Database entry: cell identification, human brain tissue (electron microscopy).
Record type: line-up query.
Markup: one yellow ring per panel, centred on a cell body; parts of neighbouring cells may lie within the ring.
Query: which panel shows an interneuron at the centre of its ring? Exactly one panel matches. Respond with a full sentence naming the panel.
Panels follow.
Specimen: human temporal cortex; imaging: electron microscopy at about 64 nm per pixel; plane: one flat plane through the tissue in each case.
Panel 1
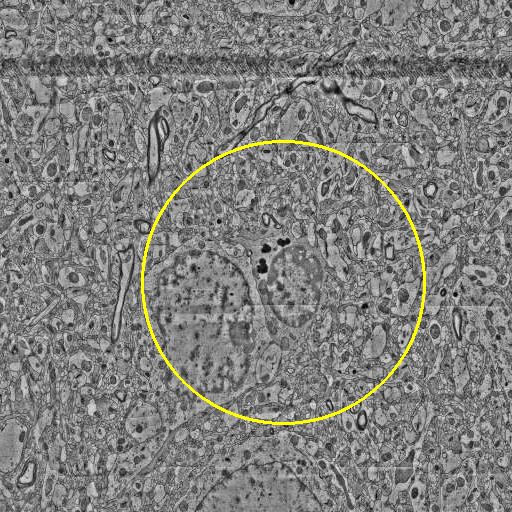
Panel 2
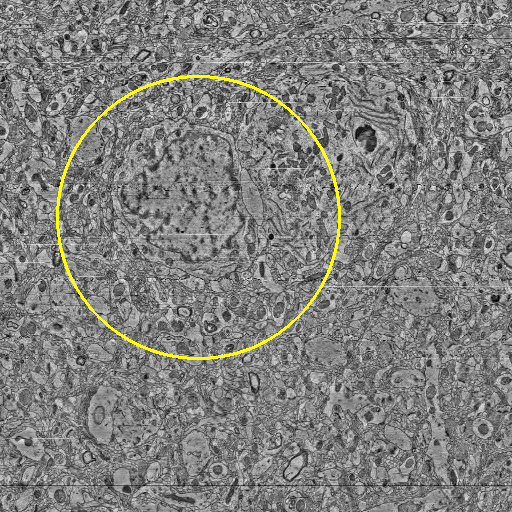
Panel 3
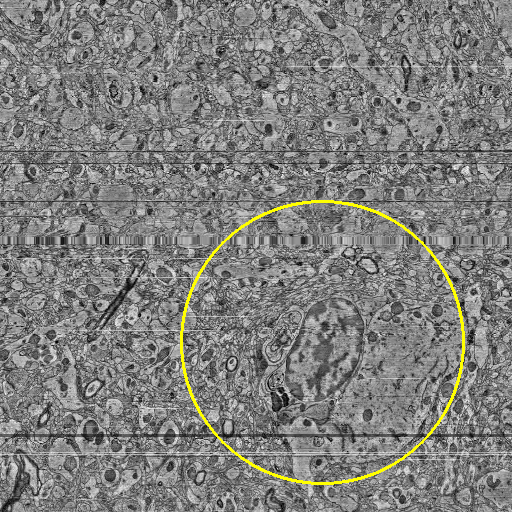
Panel 2 shows it at the centre of the ring.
